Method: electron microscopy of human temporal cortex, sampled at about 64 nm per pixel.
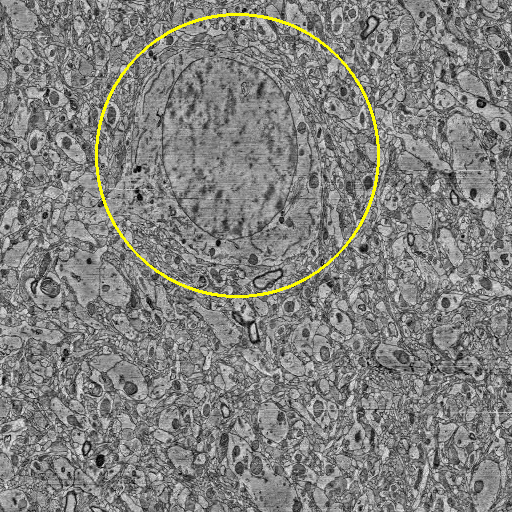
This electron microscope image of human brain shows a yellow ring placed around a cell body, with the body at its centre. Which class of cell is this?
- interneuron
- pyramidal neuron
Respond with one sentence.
The cell body at the ring's centre is a pyramidal neuron.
